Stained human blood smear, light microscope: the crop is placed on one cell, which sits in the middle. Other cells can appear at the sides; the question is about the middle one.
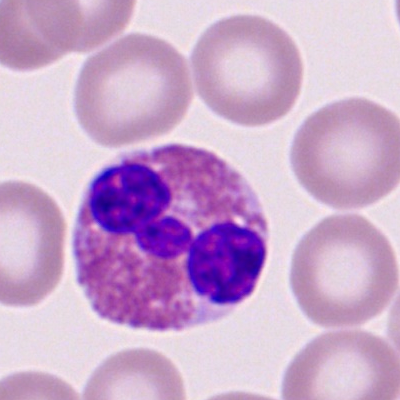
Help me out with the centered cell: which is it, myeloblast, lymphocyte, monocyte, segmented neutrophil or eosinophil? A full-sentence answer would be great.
Standing at the centre of this crop is an eosinophil.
